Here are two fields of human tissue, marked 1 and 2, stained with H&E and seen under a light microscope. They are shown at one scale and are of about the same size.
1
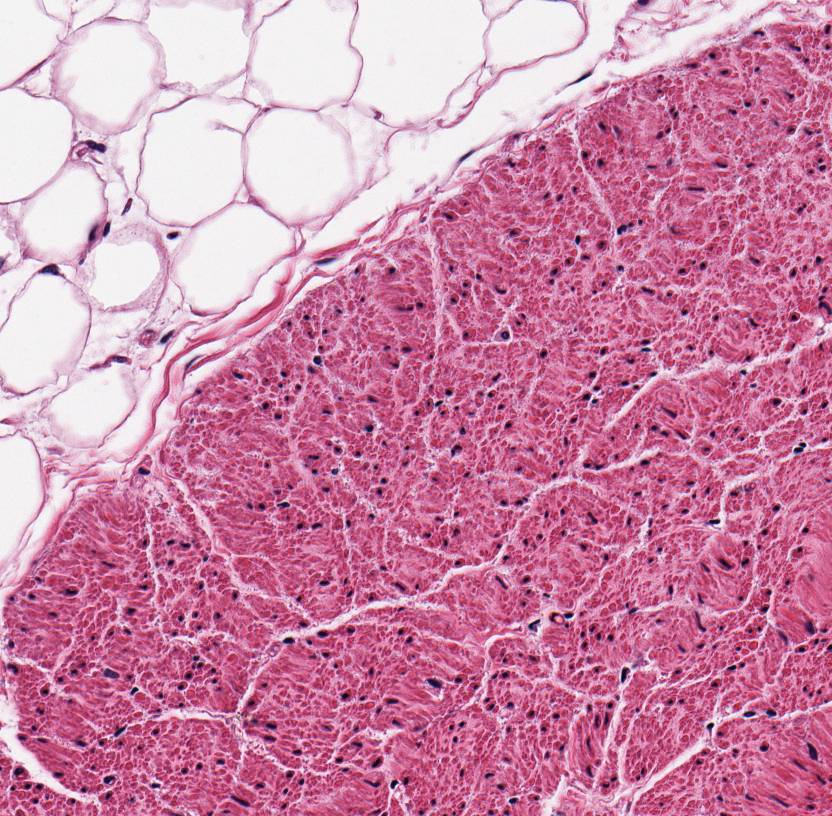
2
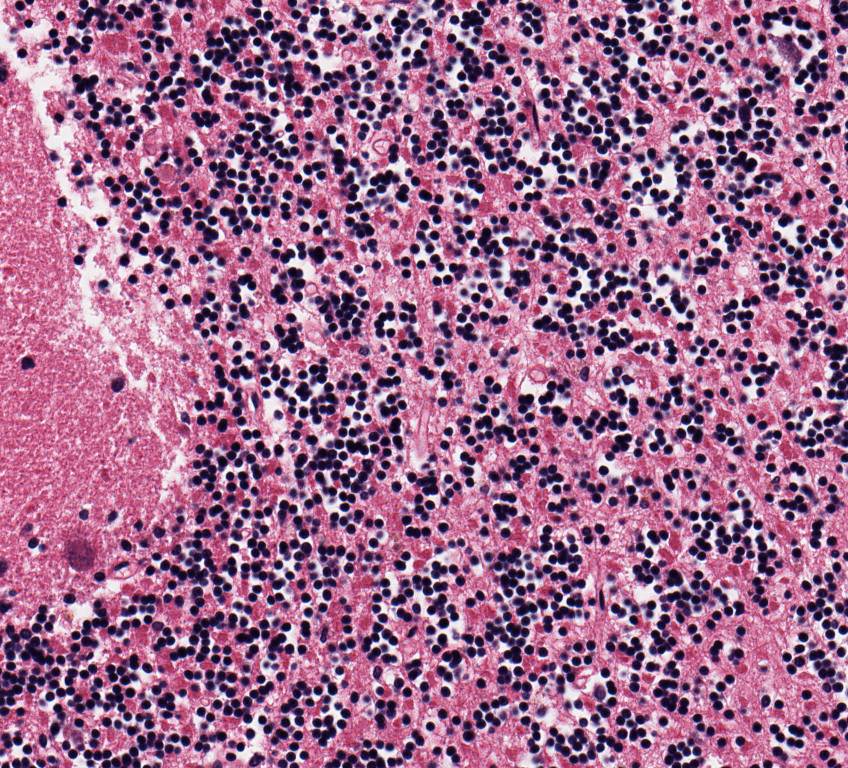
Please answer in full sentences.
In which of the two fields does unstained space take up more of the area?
More of field 1 is empty and white.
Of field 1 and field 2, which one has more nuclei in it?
There are more nuclei in field 2.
